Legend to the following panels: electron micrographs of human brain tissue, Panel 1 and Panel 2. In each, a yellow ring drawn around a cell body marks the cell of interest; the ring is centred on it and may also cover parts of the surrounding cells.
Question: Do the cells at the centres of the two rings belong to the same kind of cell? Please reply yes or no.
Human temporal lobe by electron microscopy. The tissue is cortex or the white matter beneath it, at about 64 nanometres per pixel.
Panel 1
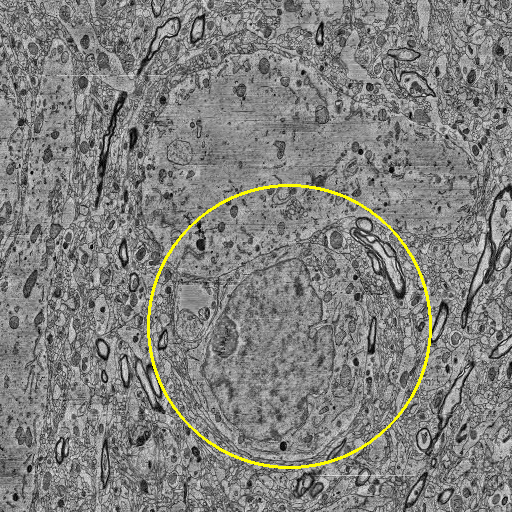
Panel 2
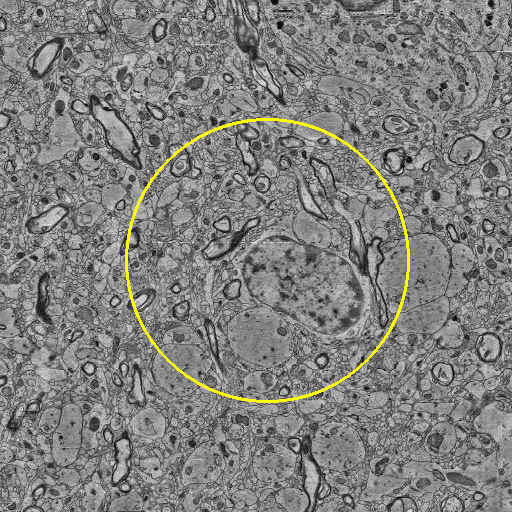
no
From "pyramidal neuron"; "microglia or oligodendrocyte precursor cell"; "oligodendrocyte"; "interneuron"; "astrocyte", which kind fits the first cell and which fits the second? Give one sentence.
The cell marked in the first picture is an interneuron, and the one marked in the second is a microglial cell or oligodendrocyte precursor cell.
